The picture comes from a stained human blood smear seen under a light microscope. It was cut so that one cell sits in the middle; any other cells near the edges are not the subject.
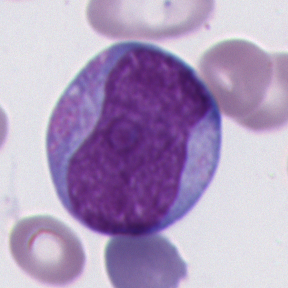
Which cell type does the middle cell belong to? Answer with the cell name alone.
promyelocyte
